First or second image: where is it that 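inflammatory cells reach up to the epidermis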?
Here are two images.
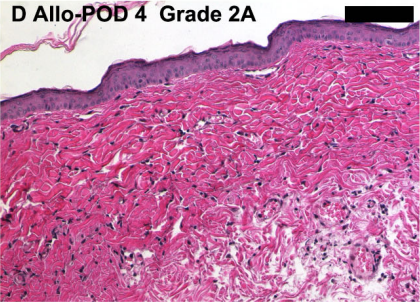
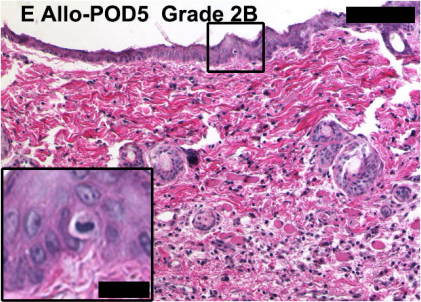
The second image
